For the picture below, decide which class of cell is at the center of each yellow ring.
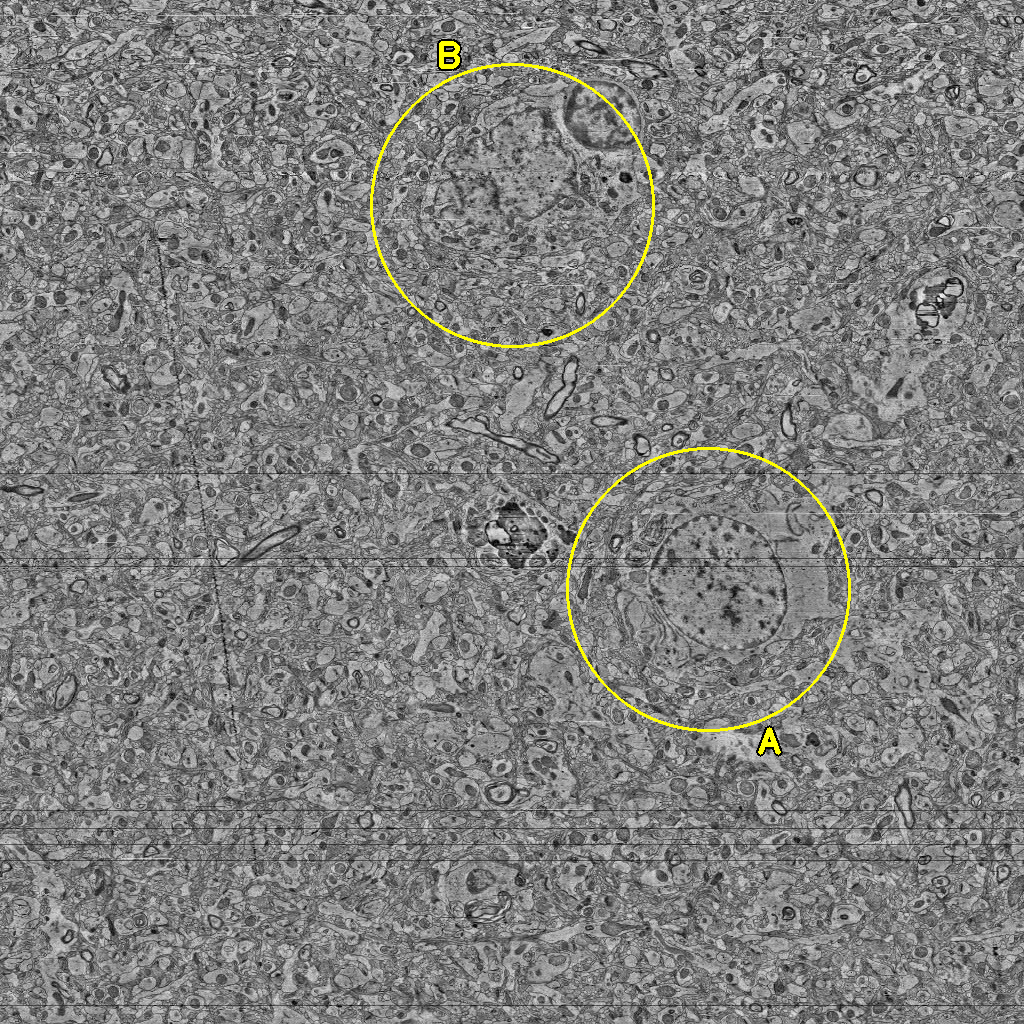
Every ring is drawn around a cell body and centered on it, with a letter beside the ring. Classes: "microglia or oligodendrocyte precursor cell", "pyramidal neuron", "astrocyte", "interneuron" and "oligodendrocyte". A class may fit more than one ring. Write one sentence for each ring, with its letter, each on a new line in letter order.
Centered in ring A is an astrocyte.
Centered in ring B is an interneuron.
